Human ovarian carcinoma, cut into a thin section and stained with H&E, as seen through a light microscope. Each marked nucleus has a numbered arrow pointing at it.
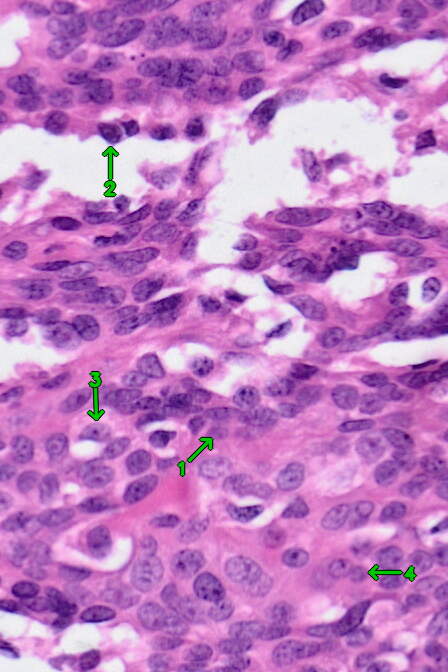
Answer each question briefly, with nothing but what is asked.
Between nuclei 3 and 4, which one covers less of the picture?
4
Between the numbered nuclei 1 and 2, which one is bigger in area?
2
